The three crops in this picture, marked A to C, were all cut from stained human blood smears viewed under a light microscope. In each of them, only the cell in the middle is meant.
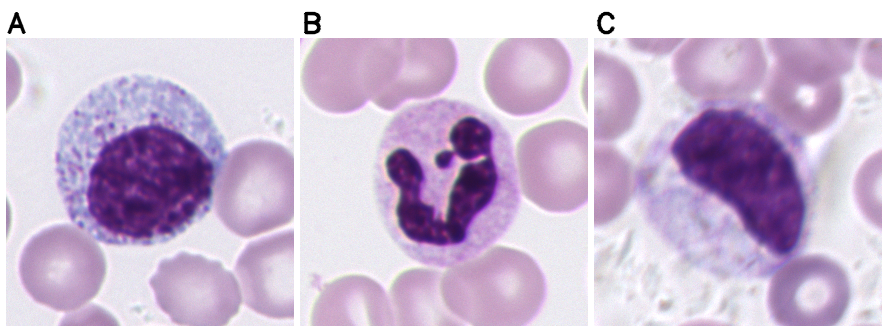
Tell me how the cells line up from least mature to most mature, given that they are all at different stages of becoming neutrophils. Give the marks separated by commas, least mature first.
A, C, B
